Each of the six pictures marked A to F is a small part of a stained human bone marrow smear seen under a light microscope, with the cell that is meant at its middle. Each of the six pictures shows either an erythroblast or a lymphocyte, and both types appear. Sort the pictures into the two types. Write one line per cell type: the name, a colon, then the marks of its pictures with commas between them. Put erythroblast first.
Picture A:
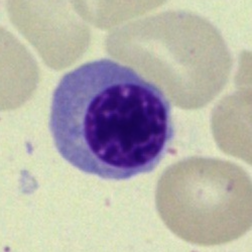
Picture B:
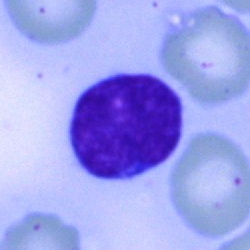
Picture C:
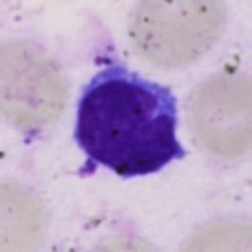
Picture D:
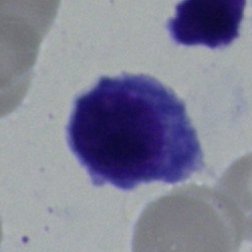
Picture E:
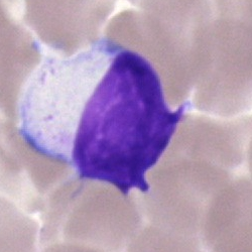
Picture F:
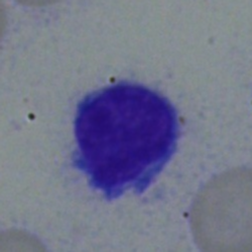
erythroblast: A, D
lymphocyte: B, C, E, F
